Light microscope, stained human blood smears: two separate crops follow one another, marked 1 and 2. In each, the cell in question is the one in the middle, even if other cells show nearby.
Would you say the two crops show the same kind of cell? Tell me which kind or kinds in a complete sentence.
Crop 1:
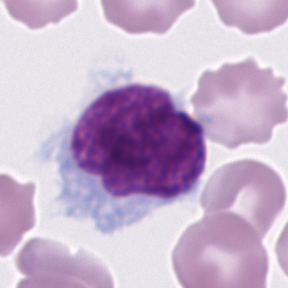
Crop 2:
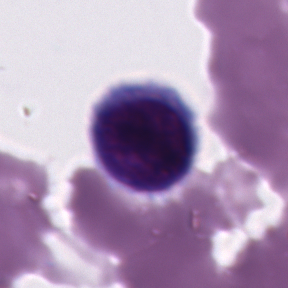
Yes, in both crops the centred cells are hairy cells.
